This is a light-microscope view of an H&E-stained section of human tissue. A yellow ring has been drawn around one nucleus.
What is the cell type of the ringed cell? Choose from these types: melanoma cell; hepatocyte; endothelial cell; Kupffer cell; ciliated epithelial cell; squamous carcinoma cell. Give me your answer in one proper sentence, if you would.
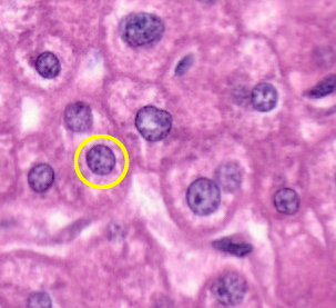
In this tissue section, the ringed cell is to be classed as a hepatocyte.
